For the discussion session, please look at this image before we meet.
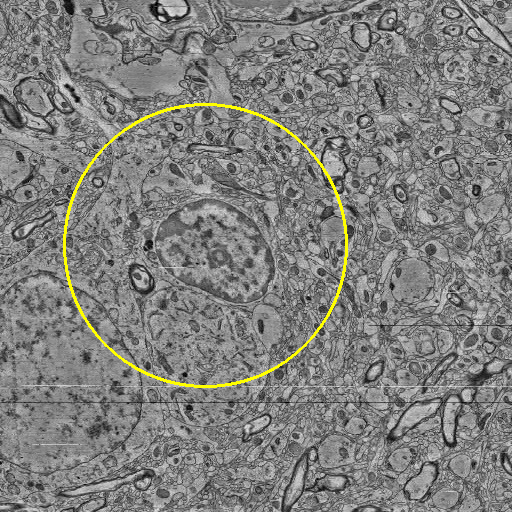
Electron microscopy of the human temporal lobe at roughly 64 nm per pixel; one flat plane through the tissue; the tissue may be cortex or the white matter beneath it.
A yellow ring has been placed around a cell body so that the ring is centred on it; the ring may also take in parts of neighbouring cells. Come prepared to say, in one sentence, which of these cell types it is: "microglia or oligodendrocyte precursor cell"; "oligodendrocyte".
The cell centred in the ring is a microglial cell or oligodendrocyte precursor cell.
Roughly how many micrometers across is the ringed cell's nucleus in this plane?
The nucleus comes to roughly 8 by 6 micrometres in this plane.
